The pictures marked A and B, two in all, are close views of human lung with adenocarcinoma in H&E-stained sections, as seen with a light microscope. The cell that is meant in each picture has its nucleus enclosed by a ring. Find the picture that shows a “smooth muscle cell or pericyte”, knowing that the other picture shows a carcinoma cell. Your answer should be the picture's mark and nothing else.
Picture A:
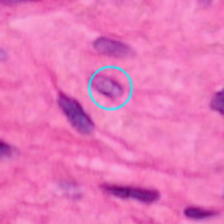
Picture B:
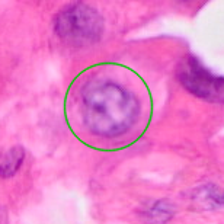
A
